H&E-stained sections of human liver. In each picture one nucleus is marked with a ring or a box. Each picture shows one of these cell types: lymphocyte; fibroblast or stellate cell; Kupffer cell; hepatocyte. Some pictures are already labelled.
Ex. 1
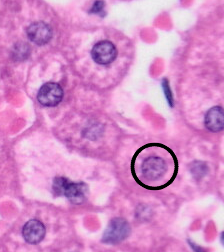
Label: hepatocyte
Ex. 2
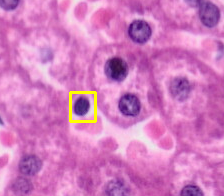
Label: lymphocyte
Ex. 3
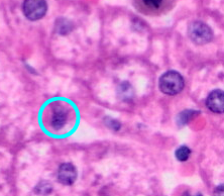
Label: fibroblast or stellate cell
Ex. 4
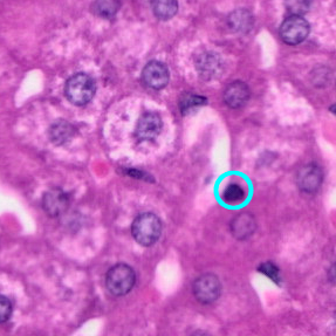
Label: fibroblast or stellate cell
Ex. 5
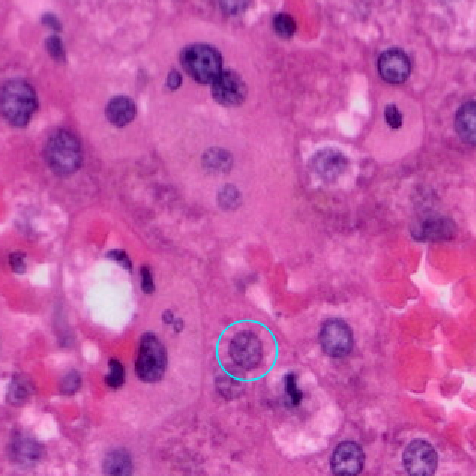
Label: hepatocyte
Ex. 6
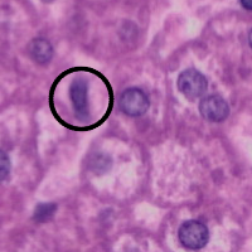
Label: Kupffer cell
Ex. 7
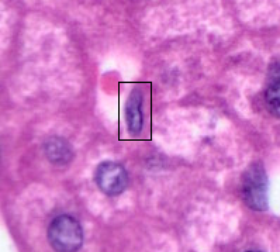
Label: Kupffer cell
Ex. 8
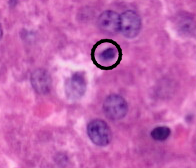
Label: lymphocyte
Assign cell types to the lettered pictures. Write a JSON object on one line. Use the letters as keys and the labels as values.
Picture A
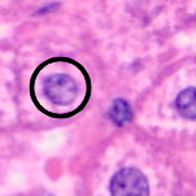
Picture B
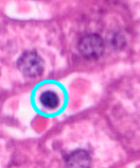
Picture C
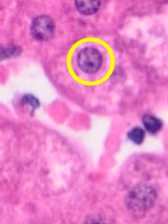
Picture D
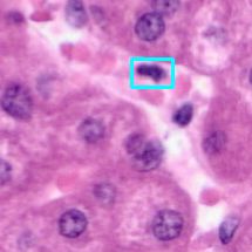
{"A": "hepatocyte", "B": "lymphocyte", "C": "hepatocyte", "D": "lymphocyte"}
